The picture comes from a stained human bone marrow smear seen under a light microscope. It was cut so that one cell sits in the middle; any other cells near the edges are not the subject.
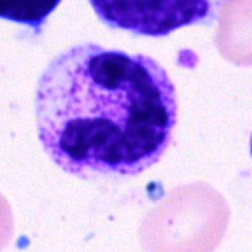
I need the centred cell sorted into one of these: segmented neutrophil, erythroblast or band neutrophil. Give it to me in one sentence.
The crop shows a segmented neutrophil in its centre.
